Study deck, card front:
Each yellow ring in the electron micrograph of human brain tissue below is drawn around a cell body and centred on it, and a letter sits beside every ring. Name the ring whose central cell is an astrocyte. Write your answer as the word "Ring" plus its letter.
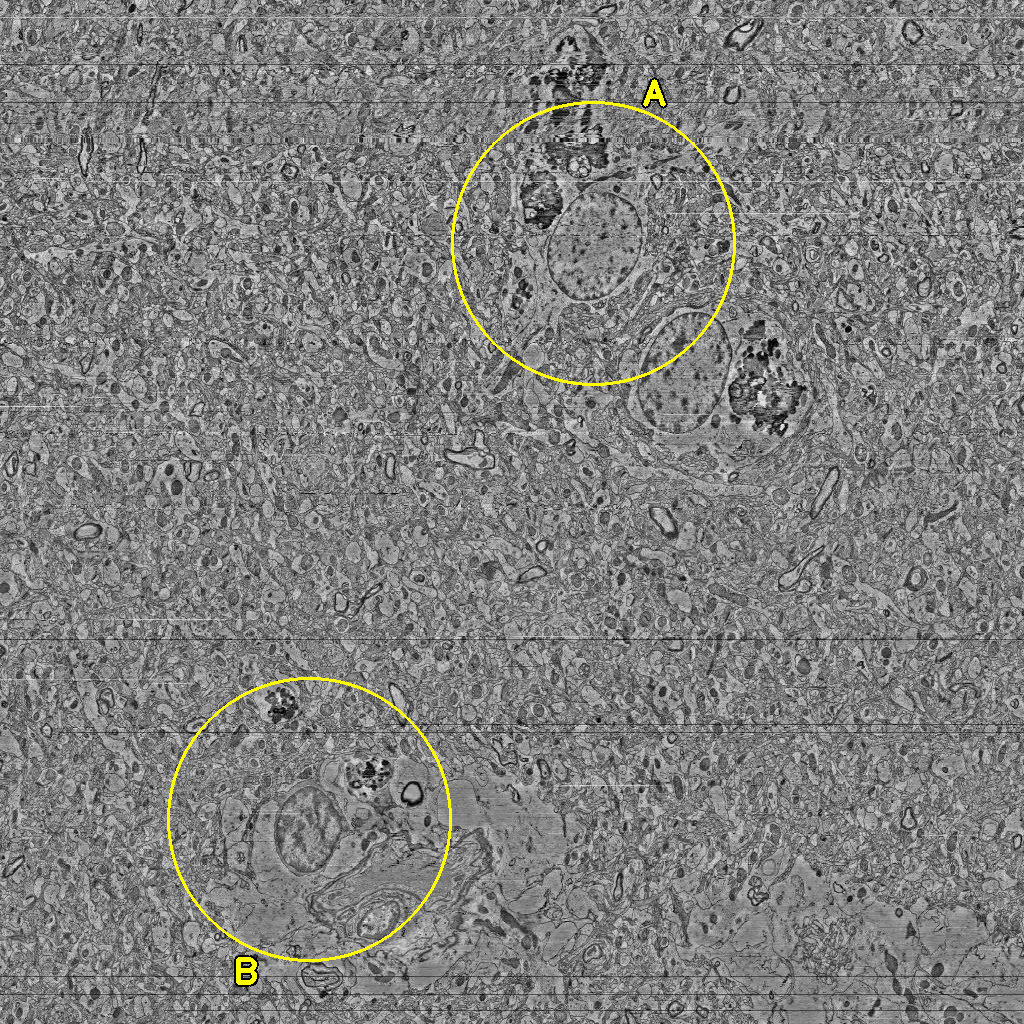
Ring A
